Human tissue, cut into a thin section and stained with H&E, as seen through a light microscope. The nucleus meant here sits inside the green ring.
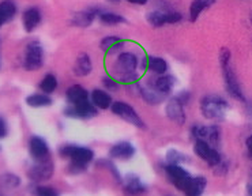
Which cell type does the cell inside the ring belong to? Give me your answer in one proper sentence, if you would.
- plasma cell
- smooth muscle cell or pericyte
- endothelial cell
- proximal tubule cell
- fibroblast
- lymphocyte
Cytologically, the cell inside the ring is to be regarded as an endothelial cell.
